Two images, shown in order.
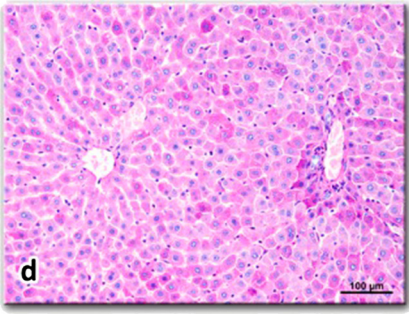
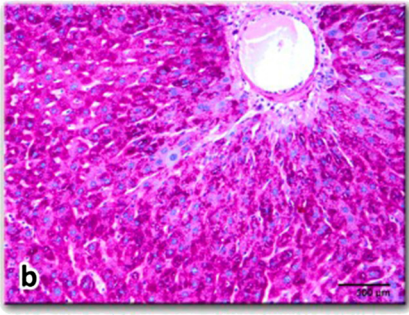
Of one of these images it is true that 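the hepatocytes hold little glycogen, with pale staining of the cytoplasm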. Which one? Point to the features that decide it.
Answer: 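First image: hepatocyte cytoplasm is only pale pink, with few darker cells.
Hence: the first image.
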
